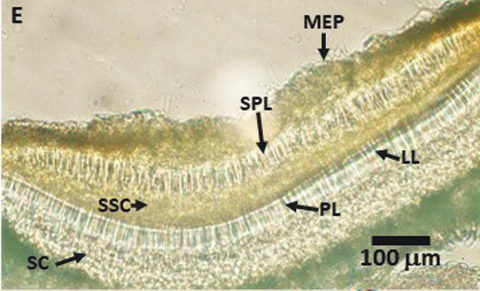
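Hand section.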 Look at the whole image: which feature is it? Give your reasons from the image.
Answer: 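Two stacked layers of radially elongated palisade-like cells are present. A thick brownish crushed layer covers the outer surface. On this evidence: hilum.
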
